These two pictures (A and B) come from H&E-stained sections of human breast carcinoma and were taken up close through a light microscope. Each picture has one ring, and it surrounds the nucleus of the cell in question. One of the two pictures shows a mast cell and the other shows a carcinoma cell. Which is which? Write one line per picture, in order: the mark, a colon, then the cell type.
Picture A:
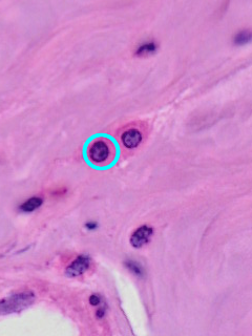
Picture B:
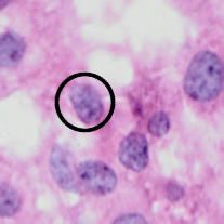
A: mast cell
B: carcinoma cell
